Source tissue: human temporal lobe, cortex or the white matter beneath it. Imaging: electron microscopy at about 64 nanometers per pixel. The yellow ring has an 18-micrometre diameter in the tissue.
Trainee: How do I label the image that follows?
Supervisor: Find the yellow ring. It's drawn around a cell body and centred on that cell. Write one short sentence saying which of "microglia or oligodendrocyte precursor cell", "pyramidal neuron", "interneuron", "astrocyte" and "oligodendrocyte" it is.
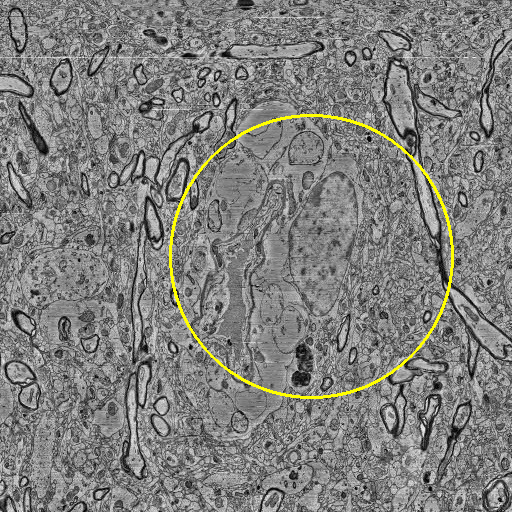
This is the cell body of a microglial cell or oligodendrocyte precursor cell.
